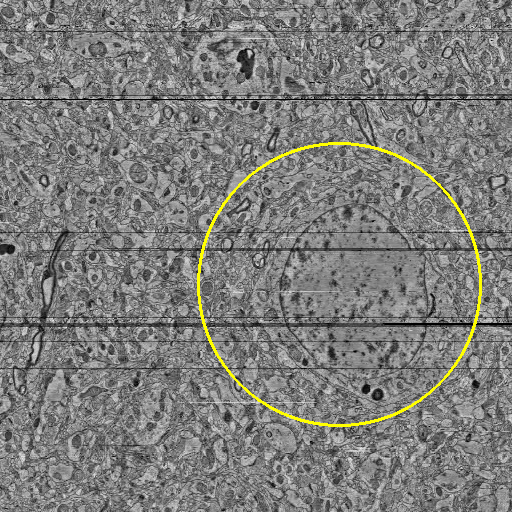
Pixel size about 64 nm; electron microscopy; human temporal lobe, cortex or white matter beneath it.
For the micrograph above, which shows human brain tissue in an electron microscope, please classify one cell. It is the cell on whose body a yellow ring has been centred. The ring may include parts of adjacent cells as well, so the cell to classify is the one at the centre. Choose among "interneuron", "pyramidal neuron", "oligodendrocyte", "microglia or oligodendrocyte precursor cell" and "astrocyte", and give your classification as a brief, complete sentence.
I classify this cell as a pyramidal neuron.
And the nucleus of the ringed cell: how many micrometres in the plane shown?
In this plane, roughly 12 by 10 micrometres.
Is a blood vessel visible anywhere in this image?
No.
